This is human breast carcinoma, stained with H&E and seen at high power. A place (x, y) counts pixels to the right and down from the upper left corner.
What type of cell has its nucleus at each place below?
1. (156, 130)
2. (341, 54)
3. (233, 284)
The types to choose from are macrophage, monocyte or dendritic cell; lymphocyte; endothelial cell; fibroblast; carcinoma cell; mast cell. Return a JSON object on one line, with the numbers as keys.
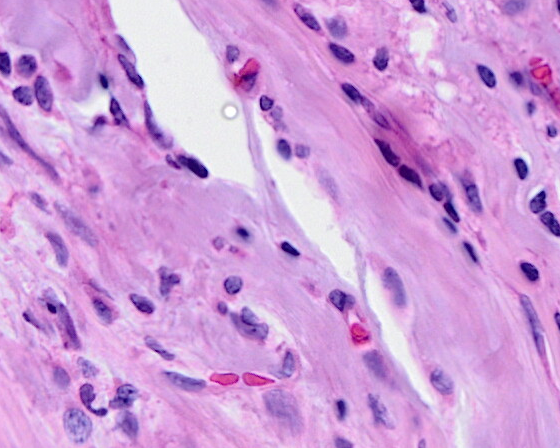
{"1": "fibroblast", "2": "lymphocyte", "3": "mast cell"}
